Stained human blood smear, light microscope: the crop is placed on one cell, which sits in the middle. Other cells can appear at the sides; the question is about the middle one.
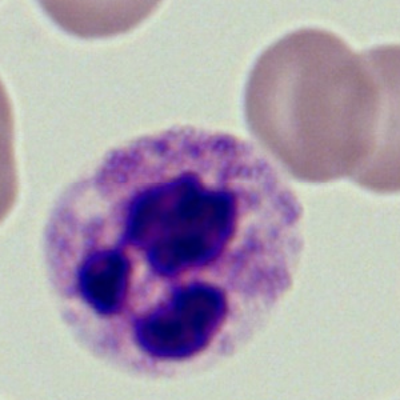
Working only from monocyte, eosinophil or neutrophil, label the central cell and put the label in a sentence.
Regarding the central cell, it is a neutrophil.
